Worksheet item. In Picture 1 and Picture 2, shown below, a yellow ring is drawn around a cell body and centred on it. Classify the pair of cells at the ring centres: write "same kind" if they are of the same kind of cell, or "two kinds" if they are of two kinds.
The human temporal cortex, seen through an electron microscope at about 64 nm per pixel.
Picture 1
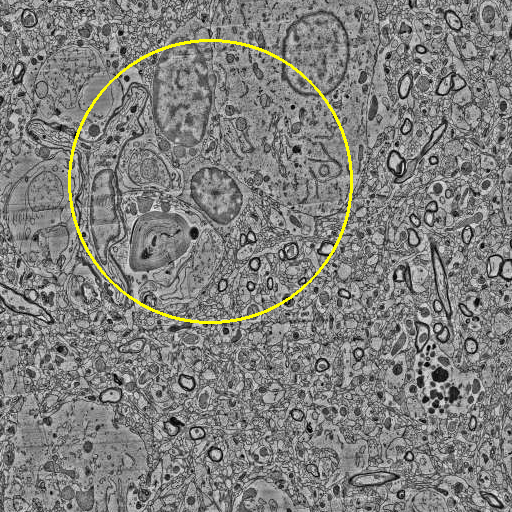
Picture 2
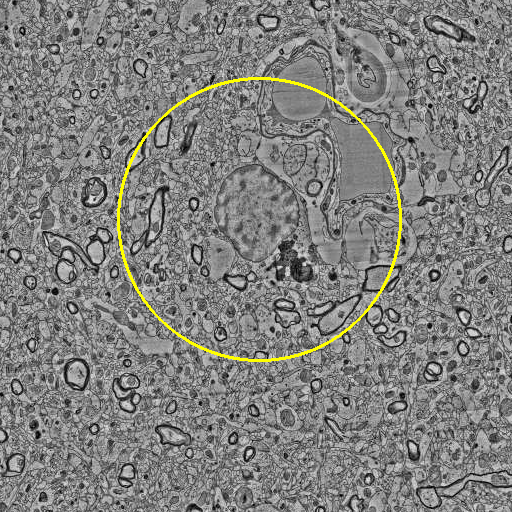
same kind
